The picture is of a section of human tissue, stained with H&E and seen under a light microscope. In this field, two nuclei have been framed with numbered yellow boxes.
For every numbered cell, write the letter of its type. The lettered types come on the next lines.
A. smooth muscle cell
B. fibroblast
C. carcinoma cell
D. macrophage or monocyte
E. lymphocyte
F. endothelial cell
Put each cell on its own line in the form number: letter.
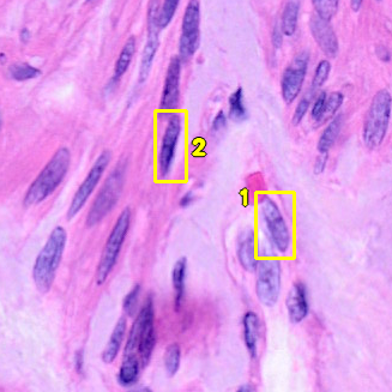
1: F
2: A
